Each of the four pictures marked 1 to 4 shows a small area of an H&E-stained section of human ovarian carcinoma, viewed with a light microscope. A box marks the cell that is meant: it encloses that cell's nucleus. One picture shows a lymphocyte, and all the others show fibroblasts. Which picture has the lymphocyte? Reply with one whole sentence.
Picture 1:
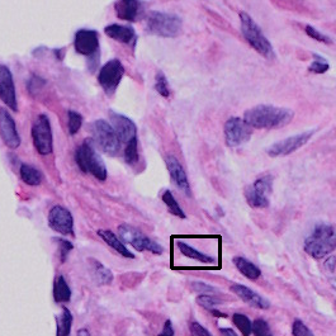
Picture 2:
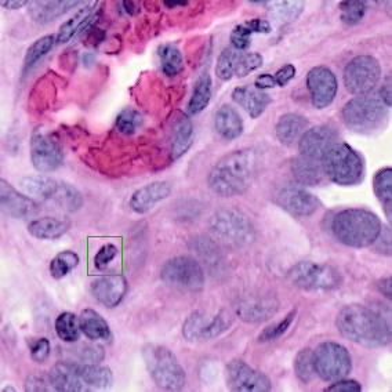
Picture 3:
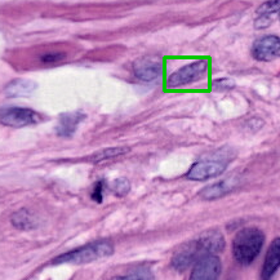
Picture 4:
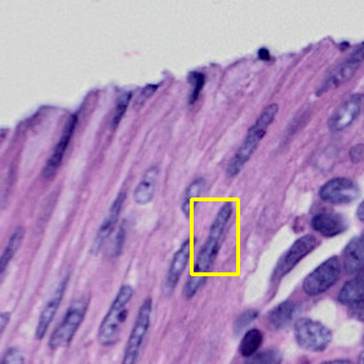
It is picture 2 that shows the lymphocyte.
